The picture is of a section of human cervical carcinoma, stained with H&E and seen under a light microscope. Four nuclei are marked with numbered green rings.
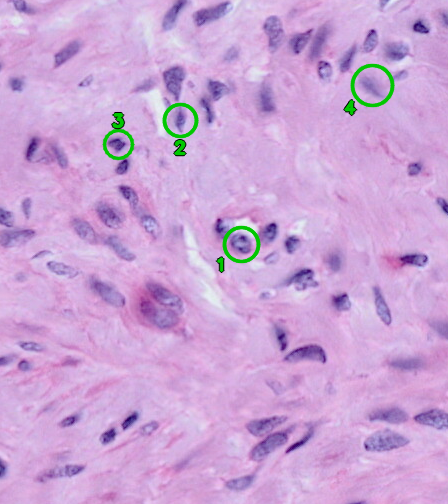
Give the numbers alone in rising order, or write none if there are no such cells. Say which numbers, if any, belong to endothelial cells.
1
